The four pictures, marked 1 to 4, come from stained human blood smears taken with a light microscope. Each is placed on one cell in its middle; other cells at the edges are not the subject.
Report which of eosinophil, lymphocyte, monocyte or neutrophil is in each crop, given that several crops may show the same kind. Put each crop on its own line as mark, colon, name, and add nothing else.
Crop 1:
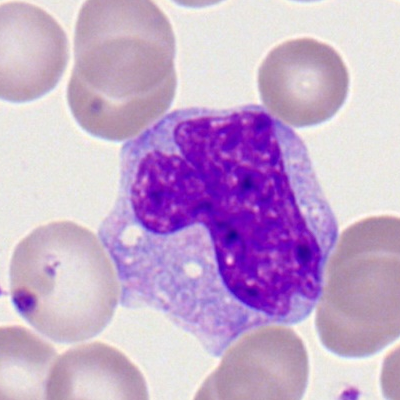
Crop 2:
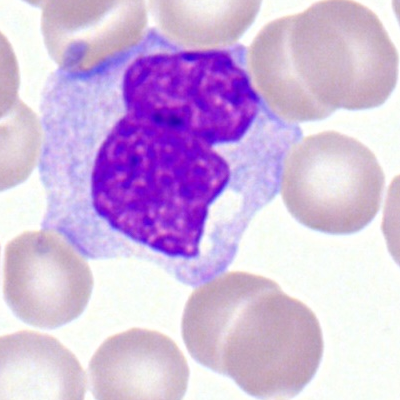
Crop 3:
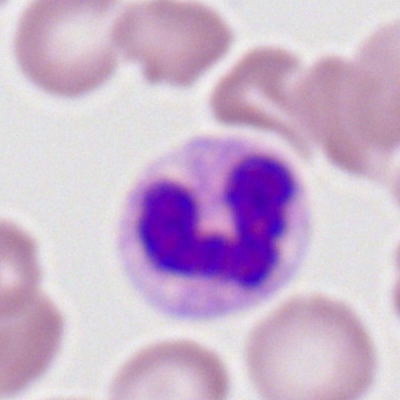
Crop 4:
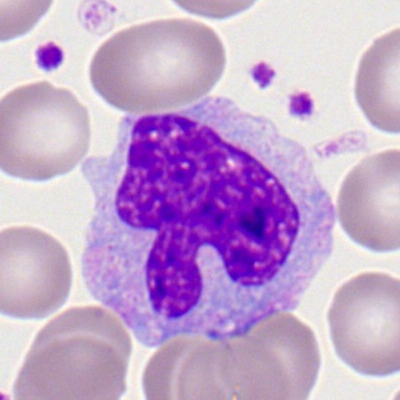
1: monocyte
2: monocyte
3: neutrophil
4: monocyte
